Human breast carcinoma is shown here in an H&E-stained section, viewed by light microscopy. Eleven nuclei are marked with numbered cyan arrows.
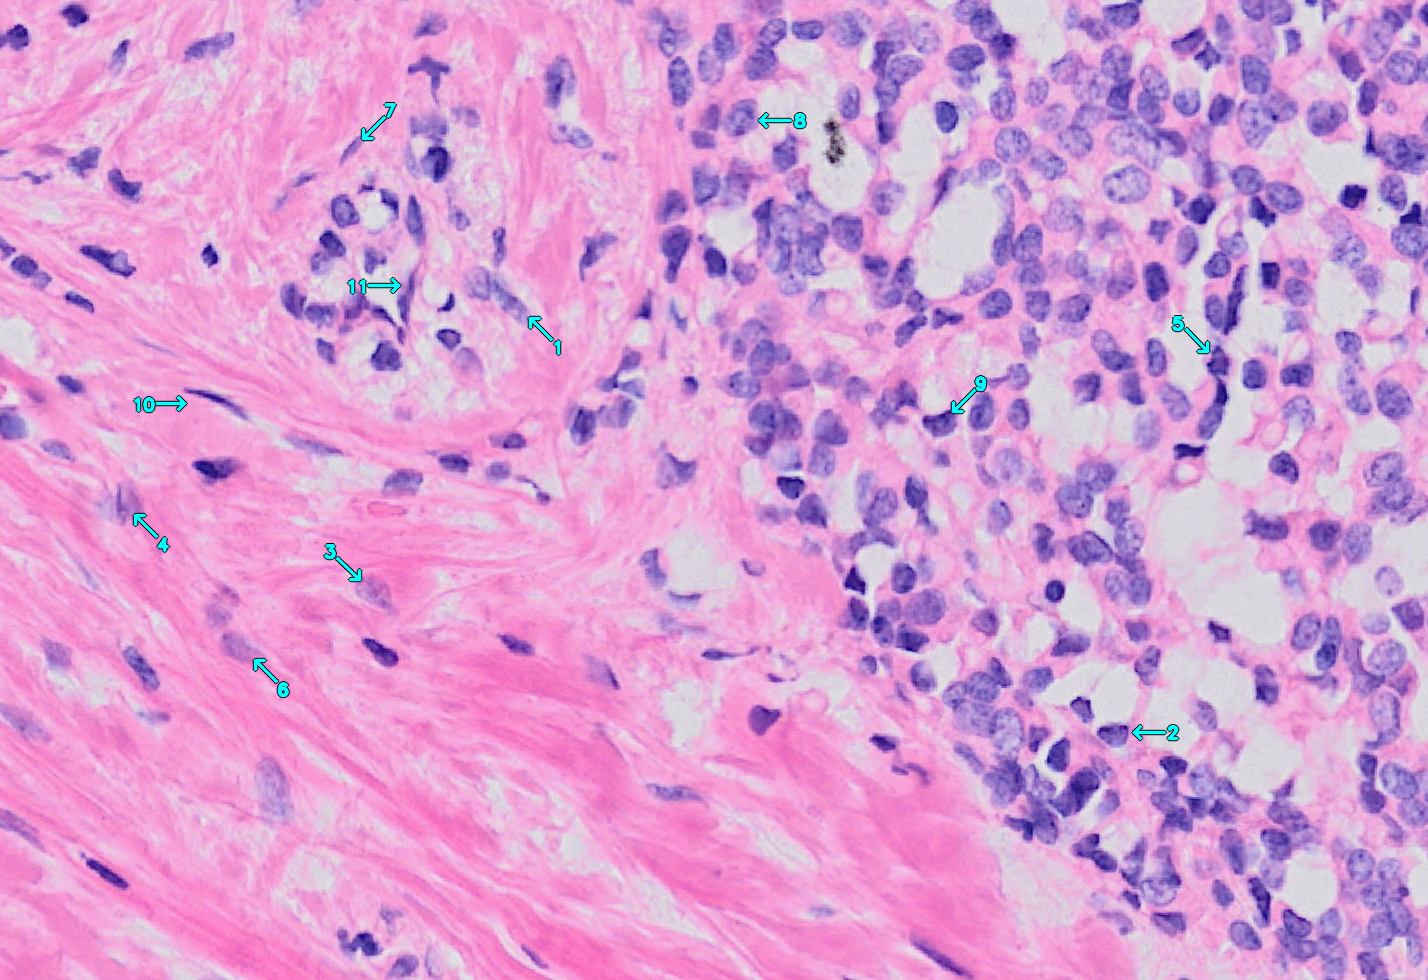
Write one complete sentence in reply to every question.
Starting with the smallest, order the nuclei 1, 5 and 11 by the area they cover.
The order from the smallest nucleus to the largest is 11, 5, 1.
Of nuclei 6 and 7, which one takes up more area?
Nucleus 6 covers more area, about 3 times as much as nucleus 7.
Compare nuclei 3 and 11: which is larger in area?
The larger nucleus is 3, at roughly 4 times the area of 11.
